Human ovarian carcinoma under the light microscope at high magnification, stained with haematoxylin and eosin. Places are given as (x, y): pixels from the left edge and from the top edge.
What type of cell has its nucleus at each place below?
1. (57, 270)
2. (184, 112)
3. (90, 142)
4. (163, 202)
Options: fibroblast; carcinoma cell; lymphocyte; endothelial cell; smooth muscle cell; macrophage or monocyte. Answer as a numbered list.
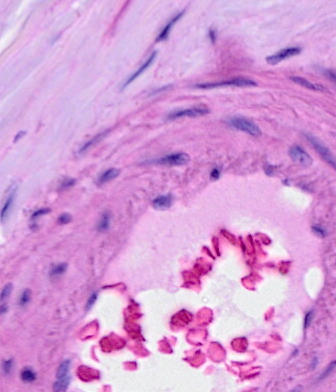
1. smooth muscle cell
2. smooth muscle cell
3. smooth muscle cell
4. endothelial cell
